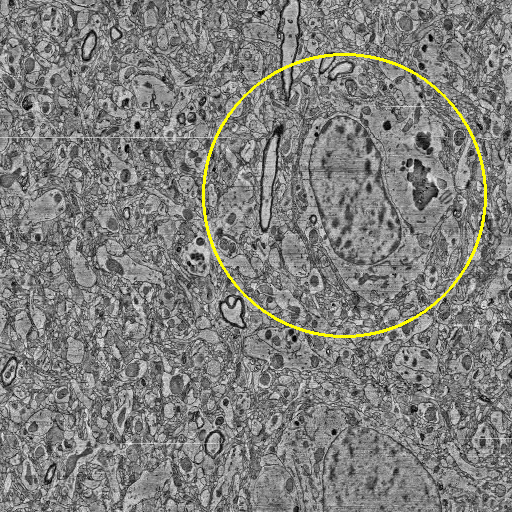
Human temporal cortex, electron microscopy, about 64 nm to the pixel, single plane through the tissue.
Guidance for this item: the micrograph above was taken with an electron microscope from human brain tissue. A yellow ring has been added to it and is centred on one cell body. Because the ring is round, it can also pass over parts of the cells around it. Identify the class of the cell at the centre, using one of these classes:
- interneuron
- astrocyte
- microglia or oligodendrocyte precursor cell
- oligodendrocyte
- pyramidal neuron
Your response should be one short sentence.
The ring surrounds the body of an astrocyte.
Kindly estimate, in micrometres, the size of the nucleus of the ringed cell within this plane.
Approximately 10 x 5 micrometres in this plane.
